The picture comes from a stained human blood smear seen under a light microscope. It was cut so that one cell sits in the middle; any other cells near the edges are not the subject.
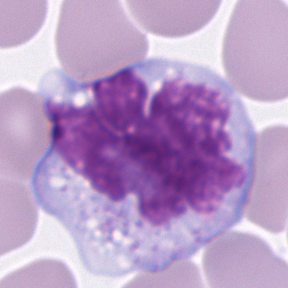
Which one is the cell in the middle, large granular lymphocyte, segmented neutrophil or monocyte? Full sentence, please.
The centrally located cell in the crop is a monocyte.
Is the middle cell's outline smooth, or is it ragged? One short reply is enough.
Its surface contour departs from smoothness through ragged edges or outward projections.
